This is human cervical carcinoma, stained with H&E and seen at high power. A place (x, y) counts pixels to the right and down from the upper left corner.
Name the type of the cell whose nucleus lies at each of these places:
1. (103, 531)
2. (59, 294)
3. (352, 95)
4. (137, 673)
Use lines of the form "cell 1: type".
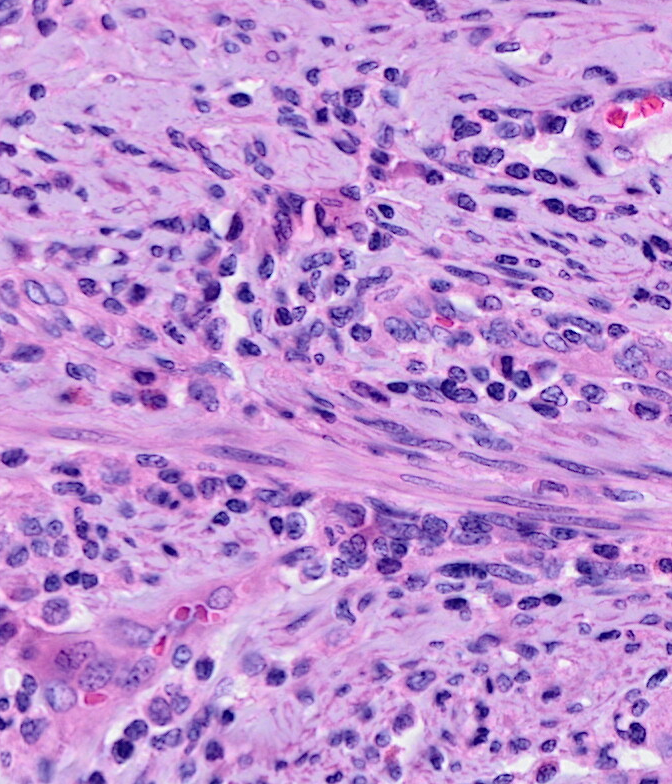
cell 1: lymphocyte
cell 2: endothelial cell
cell 3: lymphocyte
cell 4: endothelial cell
